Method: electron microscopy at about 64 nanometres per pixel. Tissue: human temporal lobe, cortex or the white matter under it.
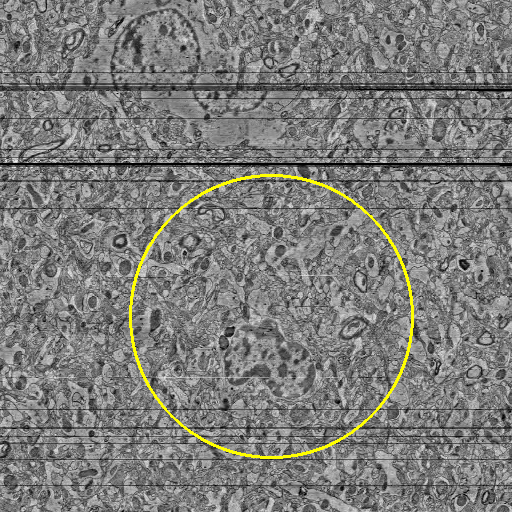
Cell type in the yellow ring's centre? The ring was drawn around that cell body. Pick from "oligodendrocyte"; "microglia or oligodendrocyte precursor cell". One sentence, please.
The ringed cell body is that of a microglial cell or oligodendrocyte precursor cell.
